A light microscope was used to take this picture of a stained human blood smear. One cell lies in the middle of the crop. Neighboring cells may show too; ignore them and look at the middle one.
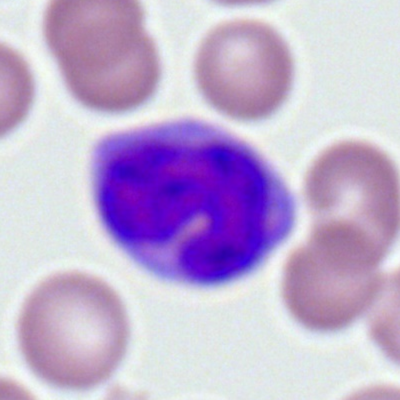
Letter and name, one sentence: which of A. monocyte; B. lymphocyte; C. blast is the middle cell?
Option A is correct, naming the cell in the middle as a monocyte.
